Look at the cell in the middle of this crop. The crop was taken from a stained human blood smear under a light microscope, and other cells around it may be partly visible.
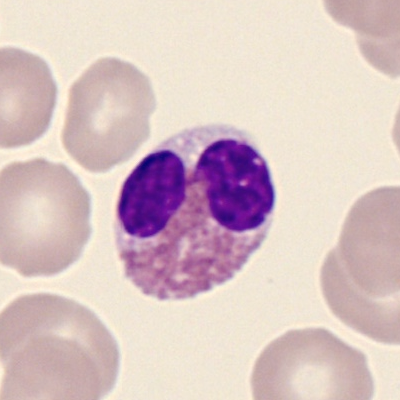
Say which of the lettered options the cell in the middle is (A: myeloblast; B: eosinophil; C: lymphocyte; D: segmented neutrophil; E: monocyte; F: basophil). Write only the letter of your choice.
B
